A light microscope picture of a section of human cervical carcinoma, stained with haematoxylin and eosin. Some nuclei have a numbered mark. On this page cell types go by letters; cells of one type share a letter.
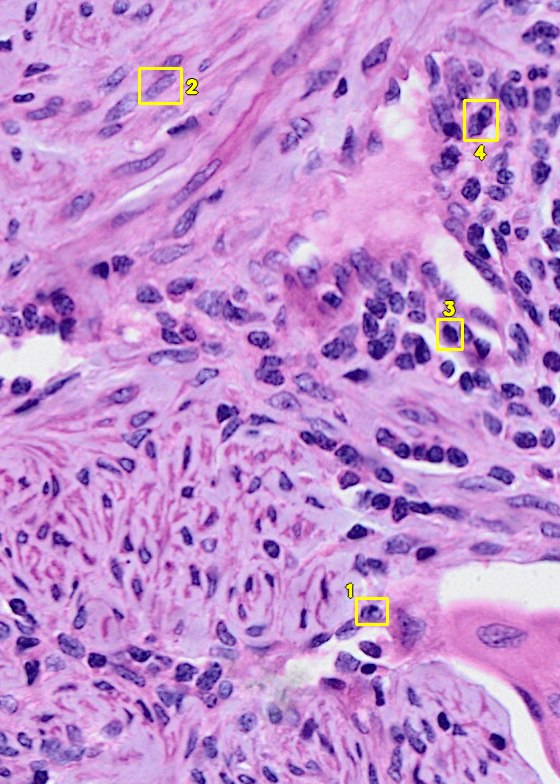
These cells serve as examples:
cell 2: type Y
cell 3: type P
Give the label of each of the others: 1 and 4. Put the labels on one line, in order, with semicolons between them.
type P; type P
